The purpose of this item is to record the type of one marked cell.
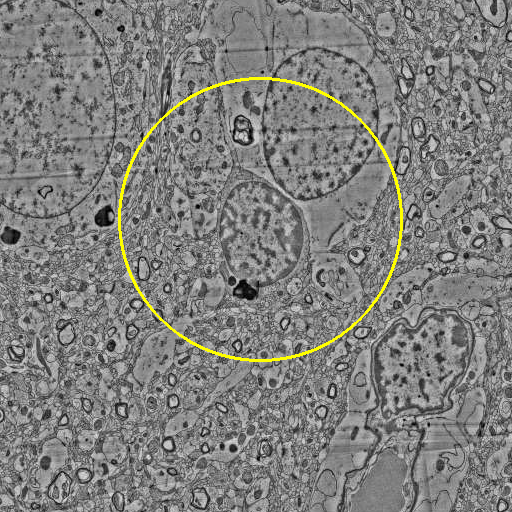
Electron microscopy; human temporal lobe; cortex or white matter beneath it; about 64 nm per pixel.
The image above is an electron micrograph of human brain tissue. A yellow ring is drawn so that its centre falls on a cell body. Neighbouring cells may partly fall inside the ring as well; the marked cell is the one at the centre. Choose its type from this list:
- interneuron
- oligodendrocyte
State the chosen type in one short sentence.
What the ring marks here is an oligodendrocyte.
